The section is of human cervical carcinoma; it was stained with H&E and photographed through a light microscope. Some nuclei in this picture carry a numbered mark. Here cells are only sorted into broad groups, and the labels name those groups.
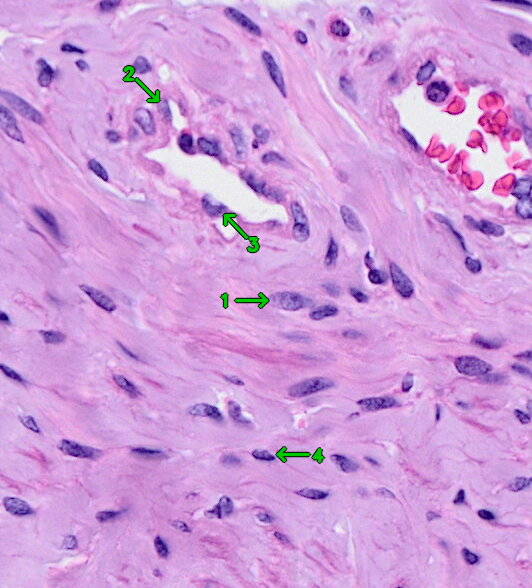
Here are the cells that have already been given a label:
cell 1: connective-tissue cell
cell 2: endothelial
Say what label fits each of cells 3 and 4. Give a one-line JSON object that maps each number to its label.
{"3": "endothelial", "4": "connective-tissue cell"}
